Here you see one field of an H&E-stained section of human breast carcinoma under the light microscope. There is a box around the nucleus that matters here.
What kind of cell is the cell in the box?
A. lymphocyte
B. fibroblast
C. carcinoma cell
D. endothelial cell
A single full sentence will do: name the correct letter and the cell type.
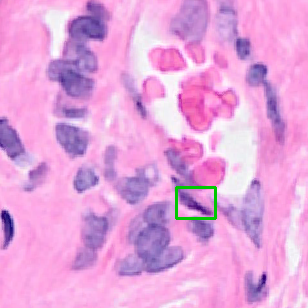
Best answer: option D, with the cell in the box being an endothelial cell.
